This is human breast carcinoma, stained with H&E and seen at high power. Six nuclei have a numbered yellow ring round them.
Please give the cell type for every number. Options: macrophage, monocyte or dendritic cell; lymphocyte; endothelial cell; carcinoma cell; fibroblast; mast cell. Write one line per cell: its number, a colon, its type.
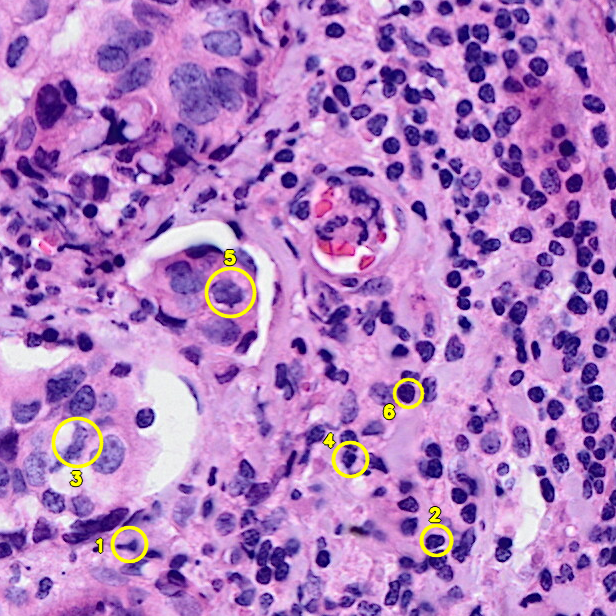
1: lymphocyte
2: lymphocyte
3: carcinoma cell
4: lymphocyte
5: carcinoma cell
6: lymphocyte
